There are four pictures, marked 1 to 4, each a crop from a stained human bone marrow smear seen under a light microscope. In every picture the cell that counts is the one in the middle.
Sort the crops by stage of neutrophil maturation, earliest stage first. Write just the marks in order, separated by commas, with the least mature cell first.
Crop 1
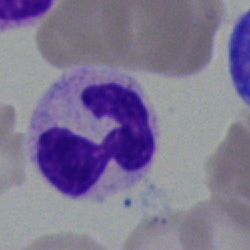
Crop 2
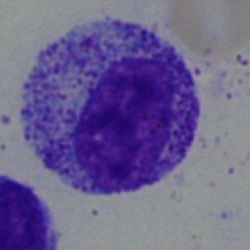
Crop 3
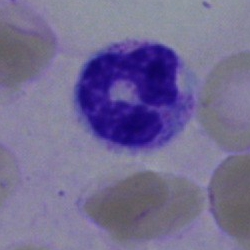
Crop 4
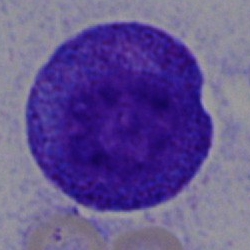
4, 2, 3, 1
